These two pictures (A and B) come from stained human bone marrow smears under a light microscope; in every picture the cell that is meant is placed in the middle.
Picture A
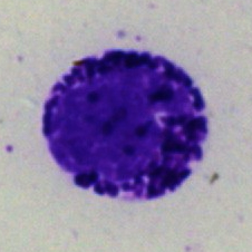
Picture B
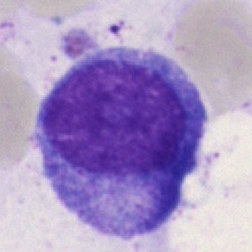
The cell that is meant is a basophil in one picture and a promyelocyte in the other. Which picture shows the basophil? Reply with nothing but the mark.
A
